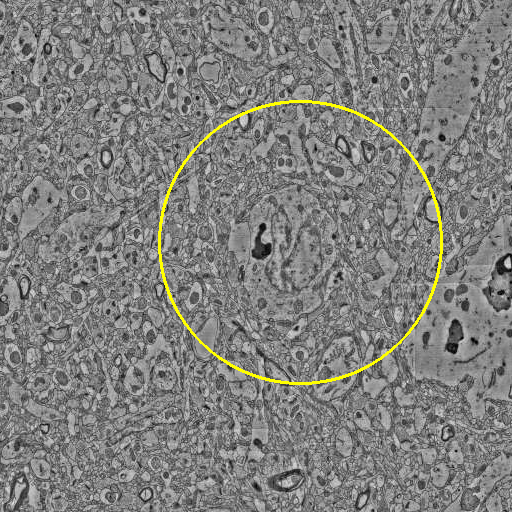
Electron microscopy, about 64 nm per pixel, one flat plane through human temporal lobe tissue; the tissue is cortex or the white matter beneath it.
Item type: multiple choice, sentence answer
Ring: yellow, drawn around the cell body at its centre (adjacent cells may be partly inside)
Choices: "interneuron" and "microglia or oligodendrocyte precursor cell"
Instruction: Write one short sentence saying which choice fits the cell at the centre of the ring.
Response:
This ring is drawn around an interneuron.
